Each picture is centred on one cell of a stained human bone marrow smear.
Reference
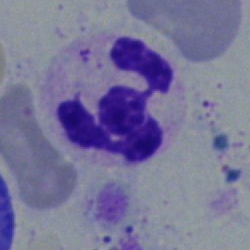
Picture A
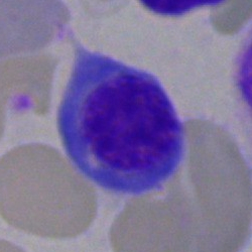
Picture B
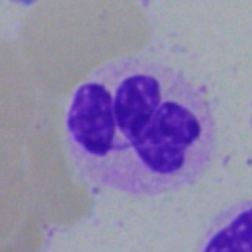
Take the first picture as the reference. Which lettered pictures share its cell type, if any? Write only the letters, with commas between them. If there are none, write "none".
B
